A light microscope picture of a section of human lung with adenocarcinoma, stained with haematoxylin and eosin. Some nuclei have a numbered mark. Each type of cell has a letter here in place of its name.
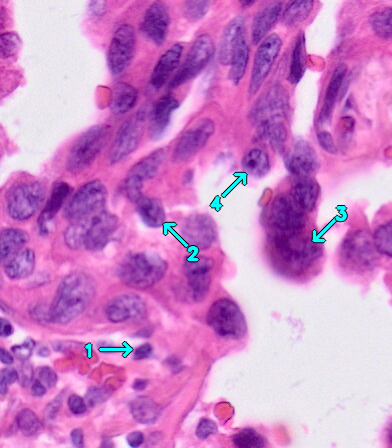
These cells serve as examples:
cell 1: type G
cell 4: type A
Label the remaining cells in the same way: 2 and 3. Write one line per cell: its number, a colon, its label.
2: type A
3: type A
